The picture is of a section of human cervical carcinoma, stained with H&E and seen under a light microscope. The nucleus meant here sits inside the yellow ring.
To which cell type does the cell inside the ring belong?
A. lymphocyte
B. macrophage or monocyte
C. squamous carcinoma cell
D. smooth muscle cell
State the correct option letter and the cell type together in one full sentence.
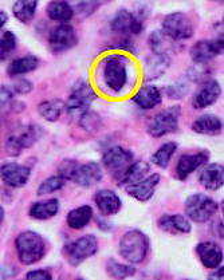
Option A matches the cell inside the ring, which is a lymphocyte.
